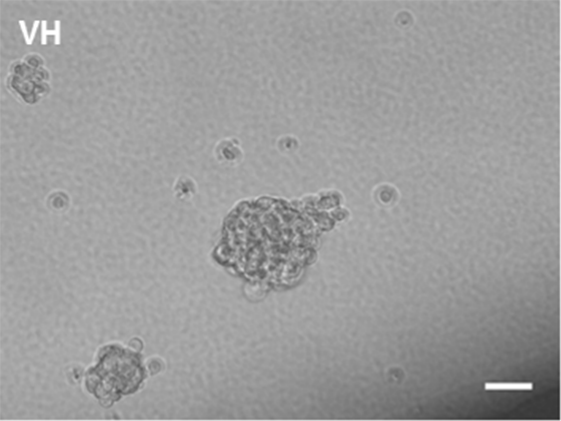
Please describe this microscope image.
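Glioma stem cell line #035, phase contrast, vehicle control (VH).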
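Rounded cells pack tightly into three-dimensional clusters. The largest cluster is near the centre and has a few cells budding from one side, and a smaller sphere lies below it. Single rounded cells are scattered around the clusters.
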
